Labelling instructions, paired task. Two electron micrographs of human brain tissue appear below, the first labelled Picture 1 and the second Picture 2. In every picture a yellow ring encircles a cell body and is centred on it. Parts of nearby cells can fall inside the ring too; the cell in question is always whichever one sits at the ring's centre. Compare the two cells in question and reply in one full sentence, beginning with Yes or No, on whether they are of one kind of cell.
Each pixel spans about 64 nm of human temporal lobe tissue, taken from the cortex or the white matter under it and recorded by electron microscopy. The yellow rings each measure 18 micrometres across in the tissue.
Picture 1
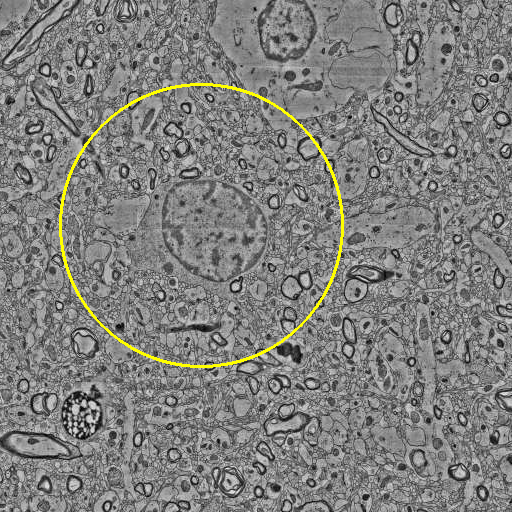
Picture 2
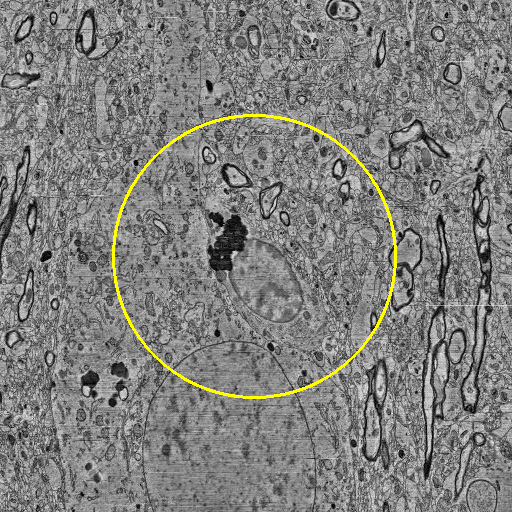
Yes, the two cells at the ring centres in Picture 1 and Picture 2 are of one kind.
